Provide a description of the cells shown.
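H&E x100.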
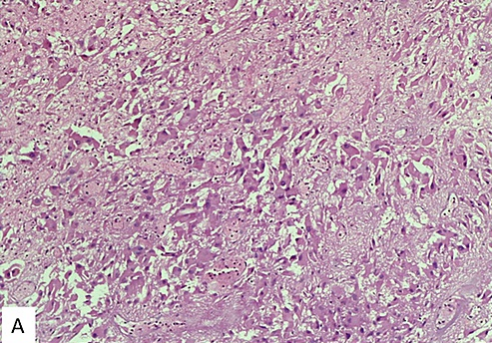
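Sheets of large cells fill the field, some polygonal and others drawn out into elongate shapes. Each has a generous amount of pink, finely granular cytoplasm, with small dark nuclei that are often pushed to one side. The cells lie loosely packed in a pale pink fibrillary background, with no clear layering or glandular arrangement. Their shape and plentiful pink cytoplasm make them resemble astrocytes or ganglion cells.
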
